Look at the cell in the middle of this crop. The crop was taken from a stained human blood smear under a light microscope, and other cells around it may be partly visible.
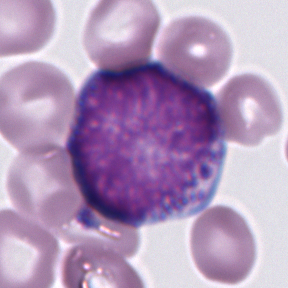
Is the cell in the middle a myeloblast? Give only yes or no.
yes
